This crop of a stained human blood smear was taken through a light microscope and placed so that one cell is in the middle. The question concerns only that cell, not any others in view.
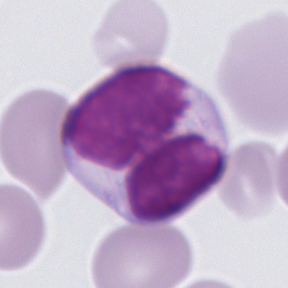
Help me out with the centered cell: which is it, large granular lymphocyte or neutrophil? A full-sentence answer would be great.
In the centre of this crop there is a large granular lymphocyte.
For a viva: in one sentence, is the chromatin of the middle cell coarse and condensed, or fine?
Check the chromatin: it is fine and not coarsely clumped.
